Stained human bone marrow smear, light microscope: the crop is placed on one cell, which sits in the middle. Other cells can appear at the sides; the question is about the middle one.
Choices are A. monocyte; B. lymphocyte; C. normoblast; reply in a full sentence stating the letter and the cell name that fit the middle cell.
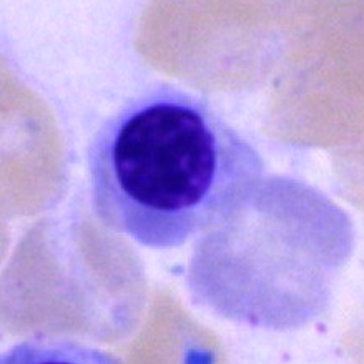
Option C is the keyed answer: the cell in the middle is a normoblast.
